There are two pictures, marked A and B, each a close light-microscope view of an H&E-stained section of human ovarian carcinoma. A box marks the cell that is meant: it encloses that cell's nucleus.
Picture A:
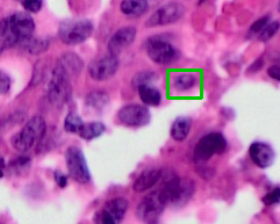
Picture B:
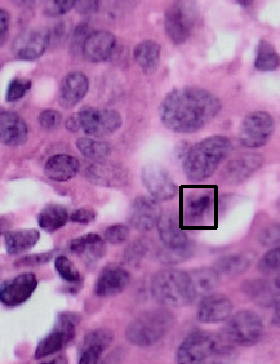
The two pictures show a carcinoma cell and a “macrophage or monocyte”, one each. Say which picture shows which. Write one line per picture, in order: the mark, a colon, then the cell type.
A: macrophage or monocyte
B: carcinoma cell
